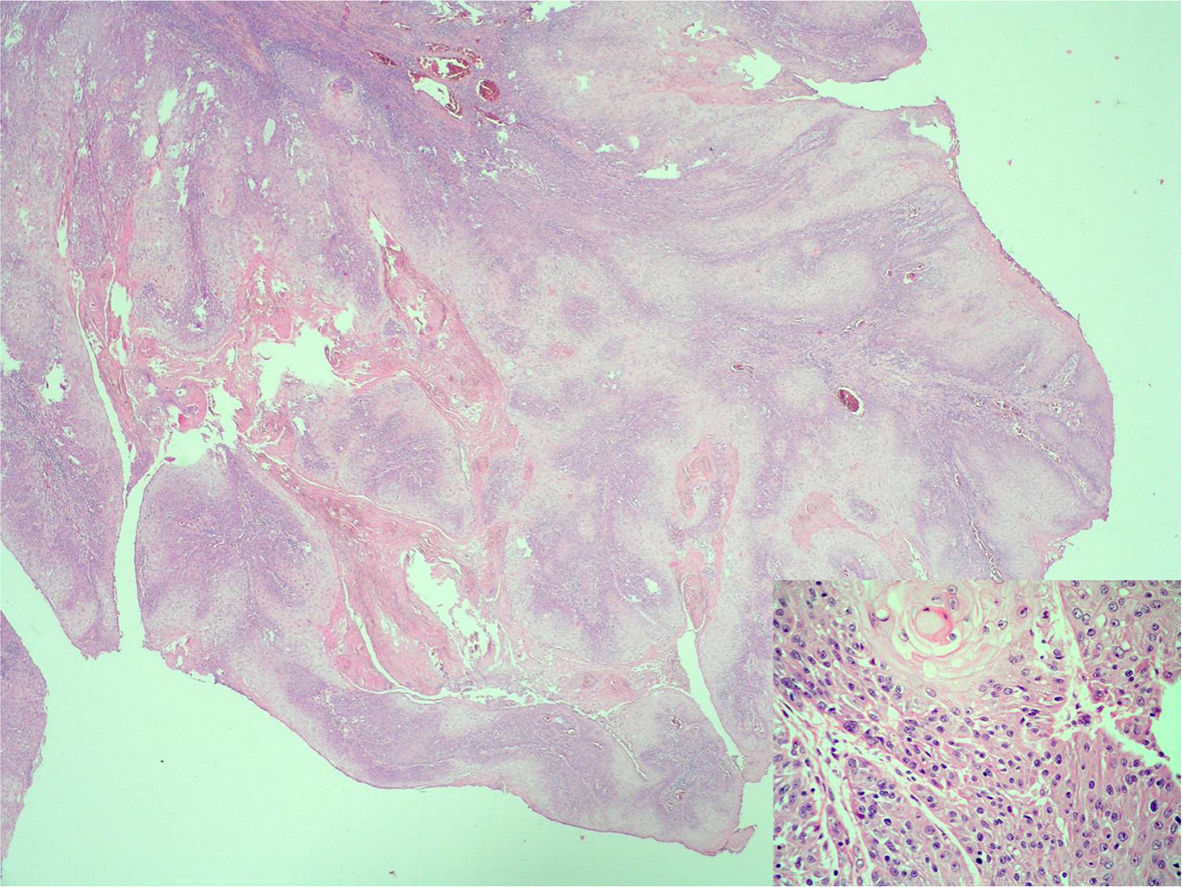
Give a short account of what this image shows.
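At low magnification, a squamous cell carcinoma forms broad, irregular, anastomosing nests and tongues of purple-staining squamous epithelium that push into the stroma, with pale pink keratinized material accumulating within and between the nests. The inset at high magnification shows a keratin pearl, a concentric whorl of pink keratin, surrounded by pleomorphic epithelial cells. These cells have abundant pink cytoplasm and enlarged, irregular nuclei with visible nucleoli.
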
